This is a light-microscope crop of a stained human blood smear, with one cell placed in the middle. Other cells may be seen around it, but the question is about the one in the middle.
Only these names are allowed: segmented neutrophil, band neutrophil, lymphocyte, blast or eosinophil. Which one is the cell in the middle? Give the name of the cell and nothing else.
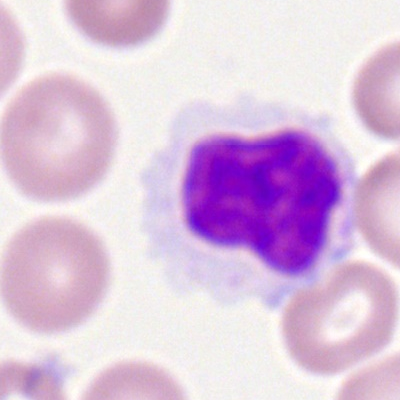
lymphocyte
